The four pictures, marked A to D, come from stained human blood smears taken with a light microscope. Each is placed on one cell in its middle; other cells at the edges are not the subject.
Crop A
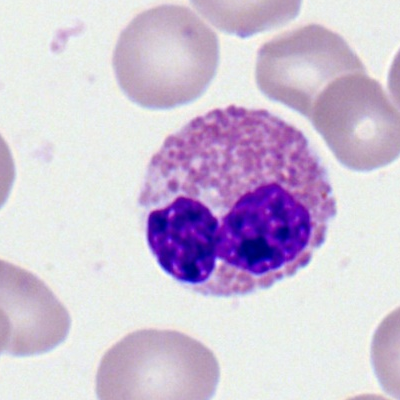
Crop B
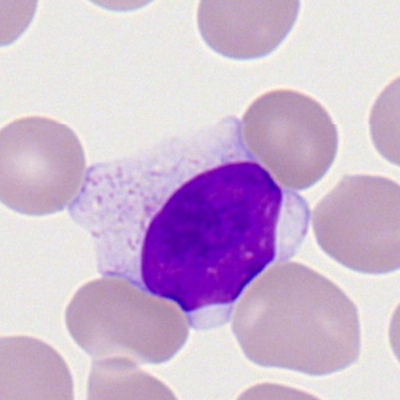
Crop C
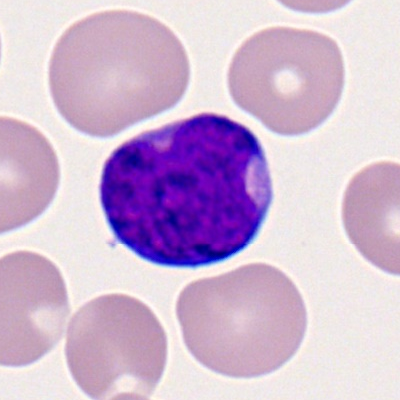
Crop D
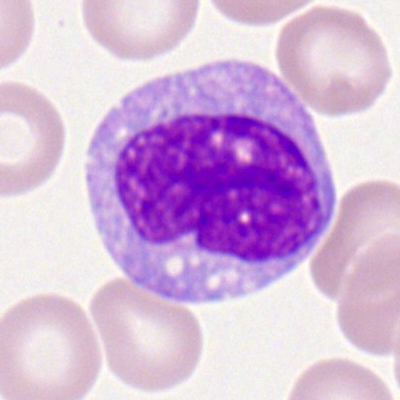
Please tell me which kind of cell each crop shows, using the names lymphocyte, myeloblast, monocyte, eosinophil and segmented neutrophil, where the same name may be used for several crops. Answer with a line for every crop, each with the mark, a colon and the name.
A: eosinophil
B: lymphocyte
C: myeloblast
D: monocyte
